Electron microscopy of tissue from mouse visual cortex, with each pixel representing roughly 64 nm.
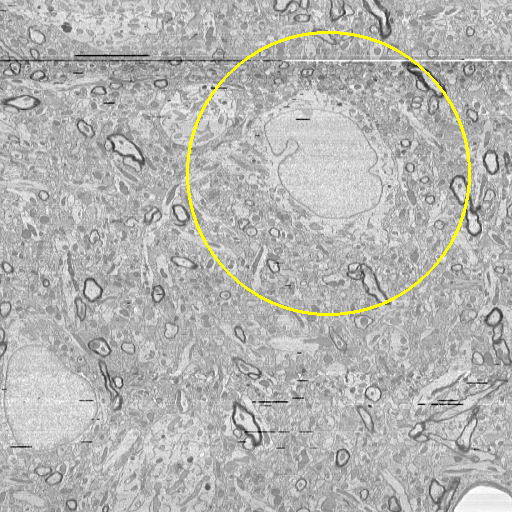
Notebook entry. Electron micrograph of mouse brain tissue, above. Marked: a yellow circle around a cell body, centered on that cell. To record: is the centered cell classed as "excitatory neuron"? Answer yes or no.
Yes, the centered cell is classed that way.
